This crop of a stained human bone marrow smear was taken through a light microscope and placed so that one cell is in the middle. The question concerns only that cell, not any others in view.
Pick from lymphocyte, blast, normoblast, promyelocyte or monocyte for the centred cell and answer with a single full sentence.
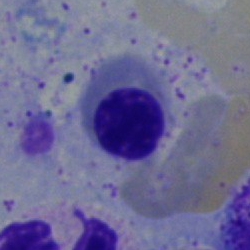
For this crop, the cell in the middle is a normoblast.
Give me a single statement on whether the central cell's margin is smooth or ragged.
Nothing juts out from the margin, which is smooth throughout.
